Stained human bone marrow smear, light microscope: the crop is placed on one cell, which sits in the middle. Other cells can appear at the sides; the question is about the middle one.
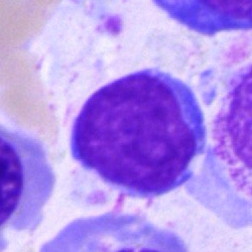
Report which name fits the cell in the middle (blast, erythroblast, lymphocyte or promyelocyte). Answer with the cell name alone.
lymphocyte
